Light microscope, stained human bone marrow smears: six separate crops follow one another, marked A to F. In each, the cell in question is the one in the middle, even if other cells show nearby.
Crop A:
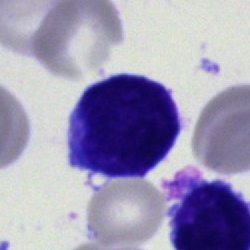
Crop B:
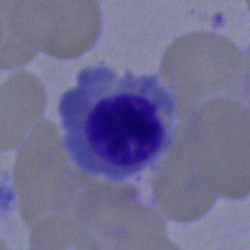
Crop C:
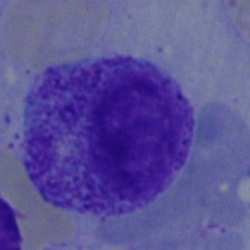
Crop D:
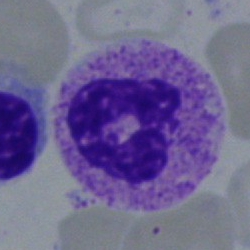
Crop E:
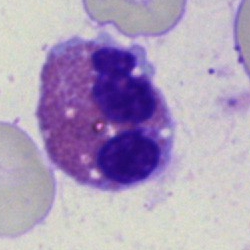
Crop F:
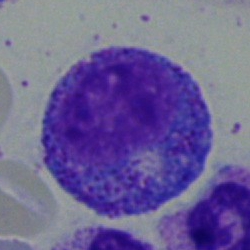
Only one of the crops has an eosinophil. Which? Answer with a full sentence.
Crop E is the right one; it is the crop showing an eosinophil.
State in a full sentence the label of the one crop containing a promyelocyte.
It is crop F that shows a promyelocyte.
